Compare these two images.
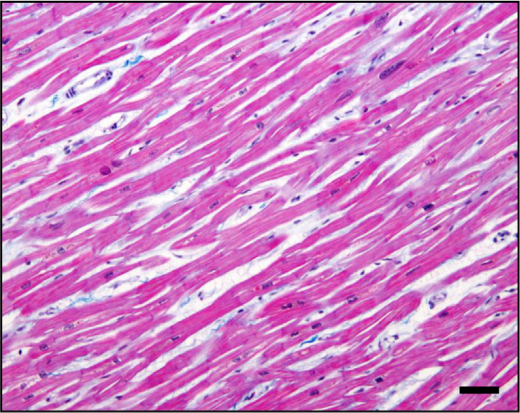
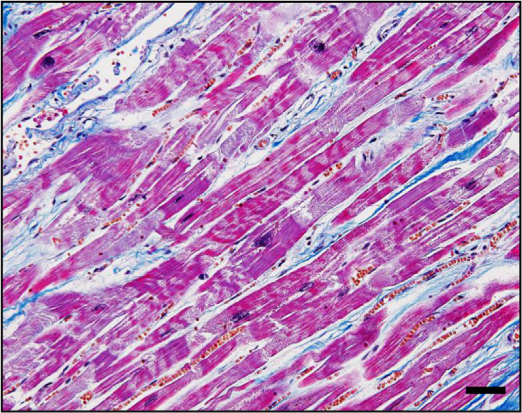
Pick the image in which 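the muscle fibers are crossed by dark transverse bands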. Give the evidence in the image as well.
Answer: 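The second image. First image: evenly pink fibers in regular parallel alignment without dark cross bands. Second image: fibers show irregular dark magenta transverse bands alternating with paler zones.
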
